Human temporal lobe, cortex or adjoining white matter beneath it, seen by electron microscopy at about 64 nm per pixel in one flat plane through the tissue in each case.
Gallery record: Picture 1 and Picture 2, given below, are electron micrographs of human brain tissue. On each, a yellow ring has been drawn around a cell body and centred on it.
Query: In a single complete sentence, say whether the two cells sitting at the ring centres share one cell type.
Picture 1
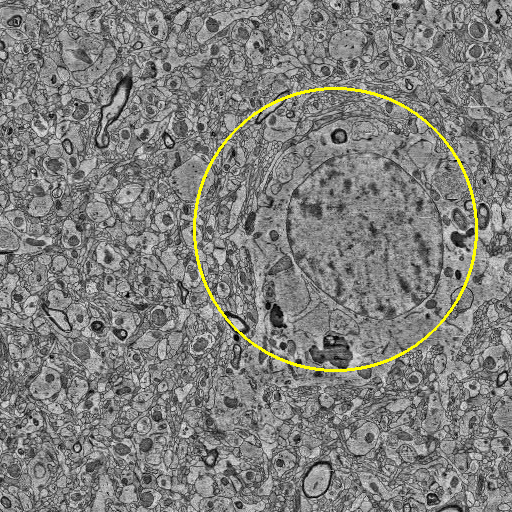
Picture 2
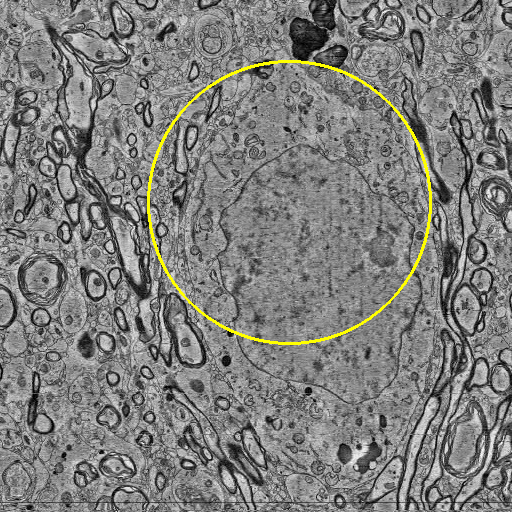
No, in the two pictures the cells at the rings' centres are of two separate types.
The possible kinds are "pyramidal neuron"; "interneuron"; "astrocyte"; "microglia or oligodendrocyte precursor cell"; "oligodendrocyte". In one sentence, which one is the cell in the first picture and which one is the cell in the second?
The cell ringed in the second picture is a pyramidal neuron, whereas the one ringed in the first is an astrocyte.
